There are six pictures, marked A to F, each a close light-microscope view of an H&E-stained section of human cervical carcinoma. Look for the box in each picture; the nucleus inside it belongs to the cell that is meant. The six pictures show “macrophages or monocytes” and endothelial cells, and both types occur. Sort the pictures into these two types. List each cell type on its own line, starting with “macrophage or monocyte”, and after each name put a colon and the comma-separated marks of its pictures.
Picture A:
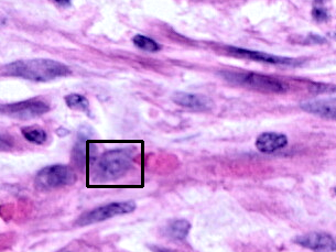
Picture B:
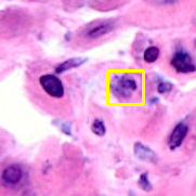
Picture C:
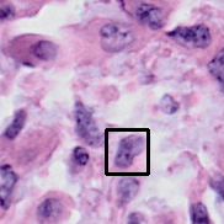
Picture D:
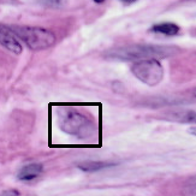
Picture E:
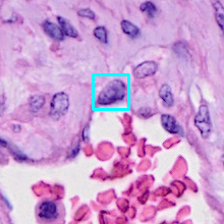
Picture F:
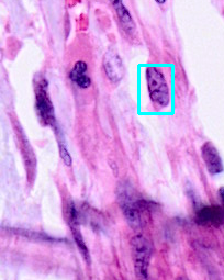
macrophage or monocyte: B, C, D, F
endothelial cell: A, E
